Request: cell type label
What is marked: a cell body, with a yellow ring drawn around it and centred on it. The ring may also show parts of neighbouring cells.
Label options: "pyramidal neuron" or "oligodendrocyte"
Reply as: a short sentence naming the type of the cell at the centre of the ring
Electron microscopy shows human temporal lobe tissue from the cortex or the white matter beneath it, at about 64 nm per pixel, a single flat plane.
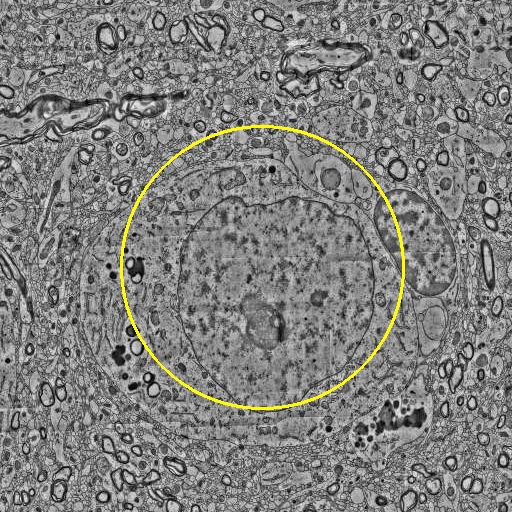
The marked cell body is that of a pyramidal neuron.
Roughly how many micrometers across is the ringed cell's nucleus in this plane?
Approximately 13 micrometres across in this plane.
